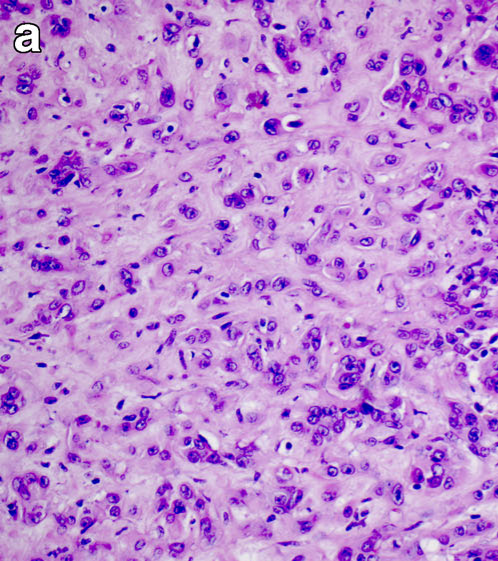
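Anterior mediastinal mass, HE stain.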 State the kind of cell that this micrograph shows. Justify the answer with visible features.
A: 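Epithelioid cells. Cells are plump and polygonal with moderate pink cytoplasm. Nuclei are round to oval, vesicular, some with visible nucleoli.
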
